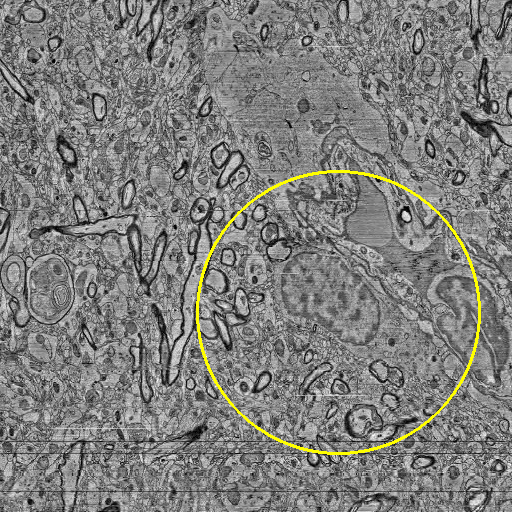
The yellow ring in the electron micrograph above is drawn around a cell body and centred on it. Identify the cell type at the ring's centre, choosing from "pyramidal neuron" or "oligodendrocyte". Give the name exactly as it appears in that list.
oligodendrocyte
